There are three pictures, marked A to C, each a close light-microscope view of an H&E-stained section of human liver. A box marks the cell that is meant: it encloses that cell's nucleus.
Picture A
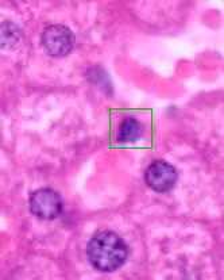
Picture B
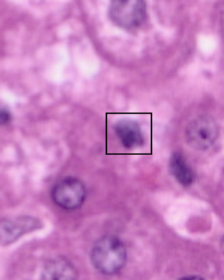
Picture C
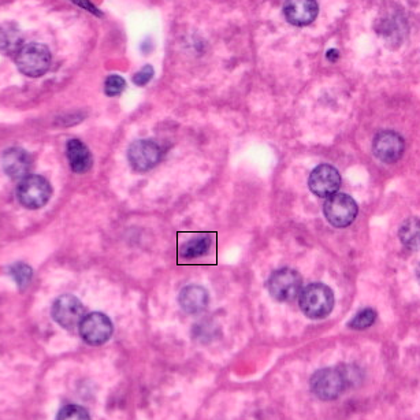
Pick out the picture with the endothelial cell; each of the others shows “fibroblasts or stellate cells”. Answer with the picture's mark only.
B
